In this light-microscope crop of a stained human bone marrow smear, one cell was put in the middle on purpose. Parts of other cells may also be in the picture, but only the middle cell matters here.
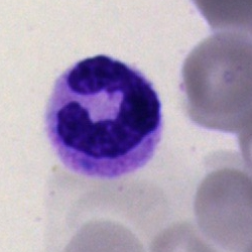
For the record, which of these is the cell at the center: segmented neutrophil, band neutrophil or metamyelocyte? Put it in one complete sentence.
Among the cells in view, the one in the middle is a segmented neutrophil.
